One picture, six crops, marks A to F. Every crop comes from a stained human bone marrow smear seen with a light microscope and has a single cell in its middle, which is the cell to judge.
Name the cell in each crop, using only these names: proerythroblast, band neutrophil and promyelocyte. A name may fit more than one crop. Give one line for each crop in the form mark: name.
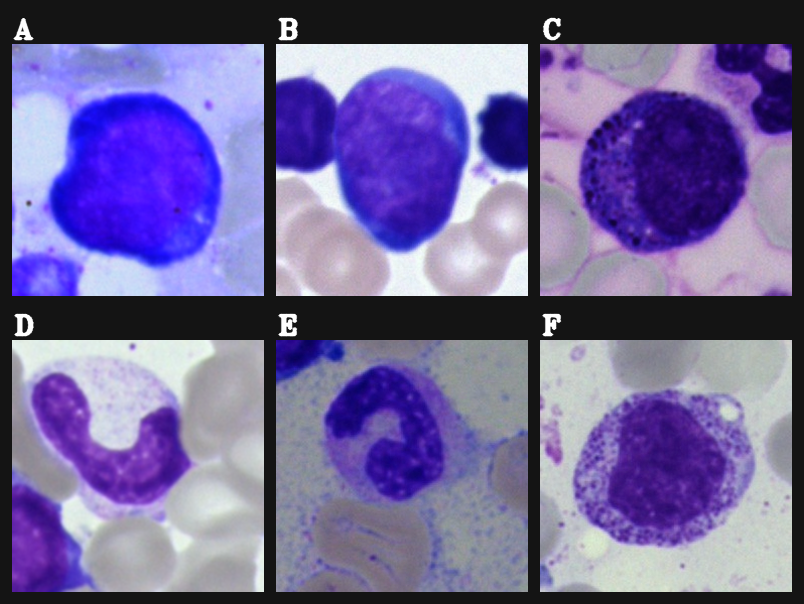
A: proerythroblast
B: proerythroblast
C: promyelocyte
D: band neutrophil
E: band neutrophil
F: promyelocyte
